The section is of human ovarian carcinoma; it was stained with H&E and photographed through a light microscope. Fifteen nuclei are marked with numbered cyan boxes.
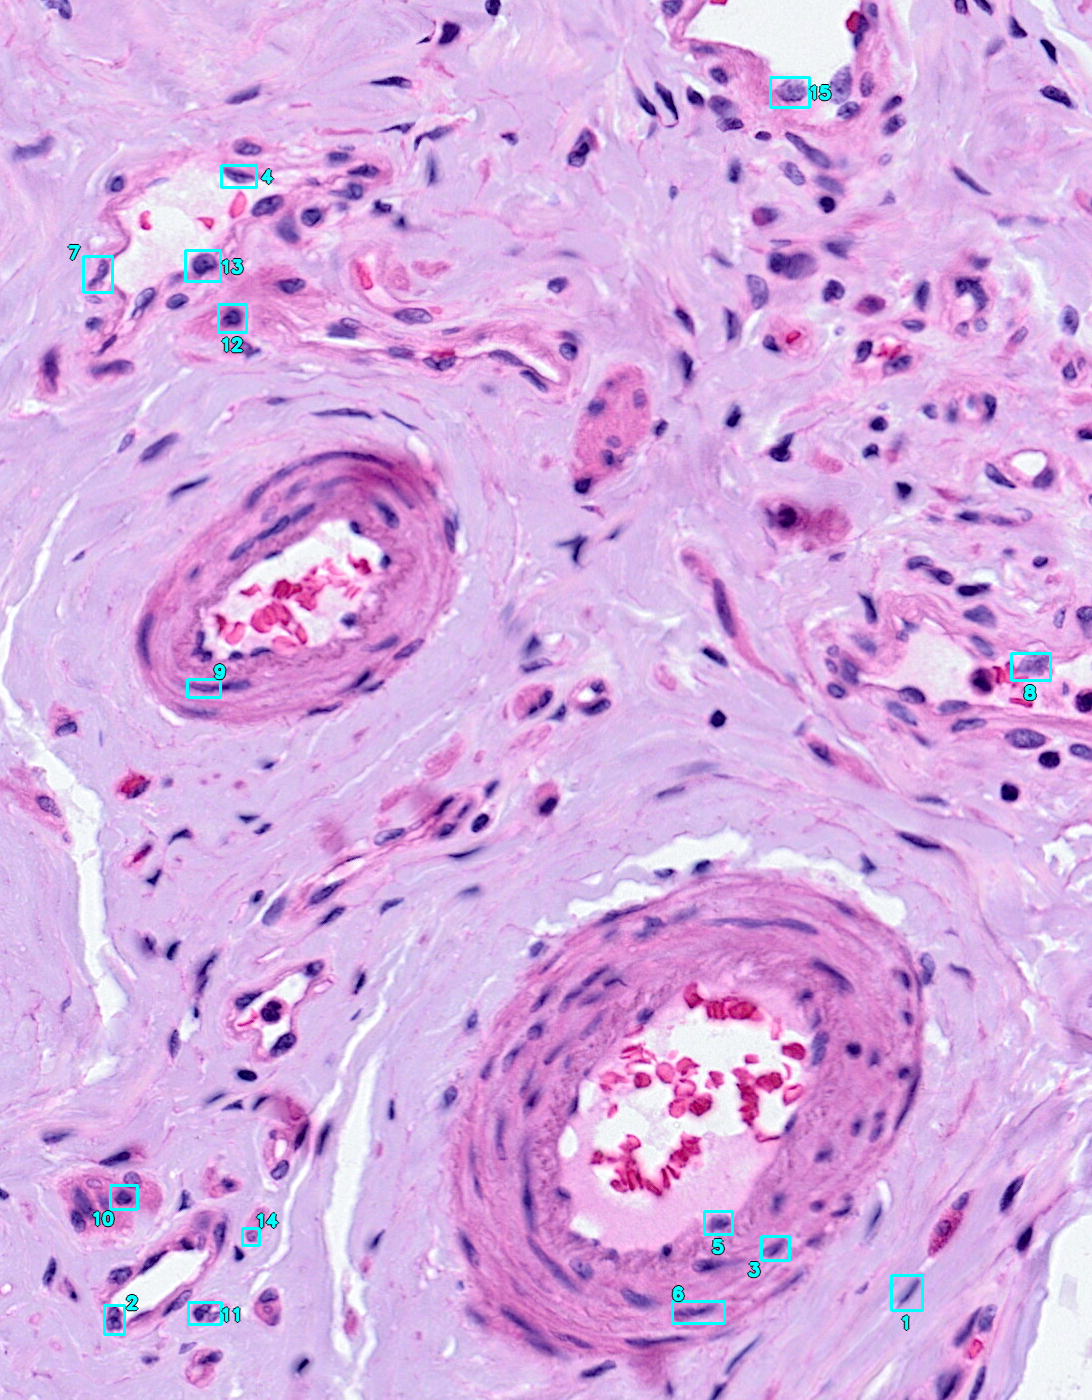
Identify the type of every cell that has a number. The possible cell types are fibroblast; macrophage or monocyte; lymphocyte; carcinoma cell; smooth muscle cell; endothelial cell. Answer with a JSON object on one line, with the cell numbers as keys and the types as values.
{"1": "fibroblast", "2": "endothelial cell", "3": "smooth muscle cell", "4": "endothelial cell", "5": "endothelial cell", "6": "smooth muscle cell", "7": "endothelial cell", "8": "endothelial cell", "9": "smooth muscle cell", "10": "smooth muscle cell", "11": "endothelial cell", "12": "smooth muscle cell", "13": "endothelial cell", "14": "smooth muscle cell", "15": "endothelial cell"}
